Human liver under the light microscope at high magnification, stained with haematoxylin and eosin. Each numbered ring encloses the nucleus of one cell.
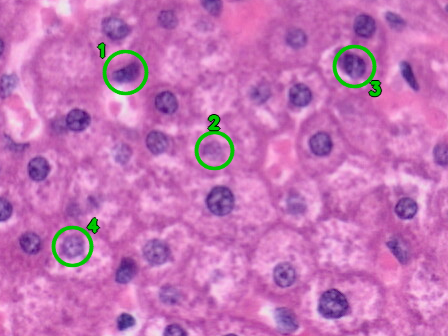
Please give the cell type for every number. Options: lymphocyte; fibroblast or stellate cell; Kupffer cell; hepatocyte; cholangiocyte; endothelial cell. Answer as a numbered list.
1. fibroblast or stellate cell
2. hepatocyte
3. hepatocyte
4. hepatocyte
